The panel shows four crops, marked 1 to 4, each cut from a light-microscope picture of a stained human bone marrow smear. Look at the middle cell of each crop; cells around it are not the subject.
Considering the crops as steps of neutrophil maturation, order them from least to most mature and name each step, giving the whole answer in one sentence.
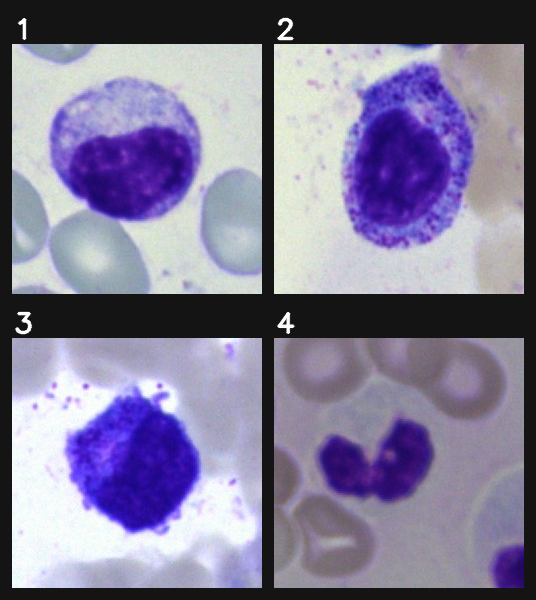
From least to most mature, the crops are ordered crop 3 (a promyelocyte), crop 2 (a myelocyte), crop 1 (a metamyelocyte) and crop 4 (a segmented neutrophil).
